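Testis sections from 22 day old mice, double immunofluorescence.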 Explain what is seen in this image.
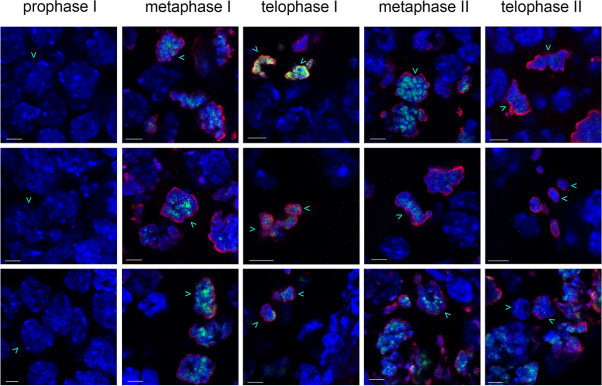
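Green dots and patches lie within the condensed chromatin of many of these dividing cells. Around them lie cells with rounded blue nuclei and diffuse chromatin that carry little of either colour.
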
